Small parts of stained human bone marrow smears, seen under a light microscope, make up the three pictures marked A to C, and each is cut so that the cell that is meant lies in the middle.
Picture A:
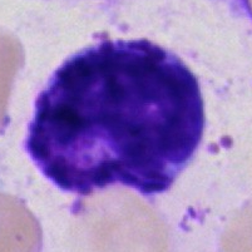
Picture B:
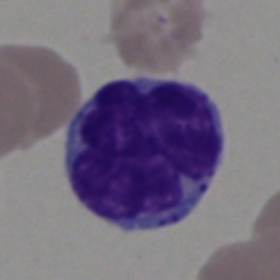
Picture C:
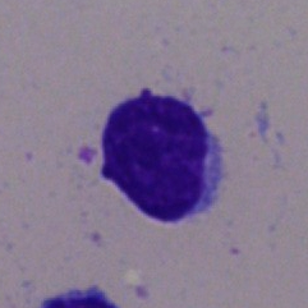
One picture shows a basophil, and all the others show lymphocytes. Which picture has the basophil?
A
